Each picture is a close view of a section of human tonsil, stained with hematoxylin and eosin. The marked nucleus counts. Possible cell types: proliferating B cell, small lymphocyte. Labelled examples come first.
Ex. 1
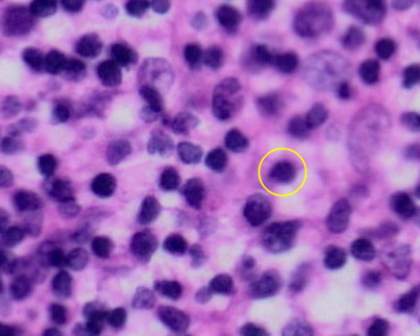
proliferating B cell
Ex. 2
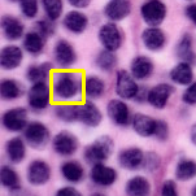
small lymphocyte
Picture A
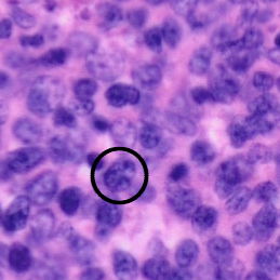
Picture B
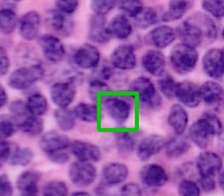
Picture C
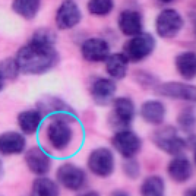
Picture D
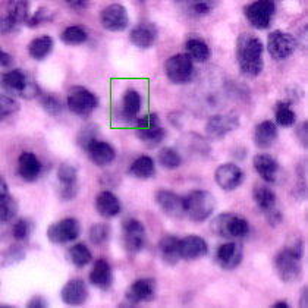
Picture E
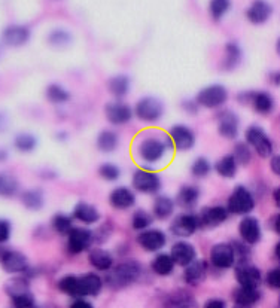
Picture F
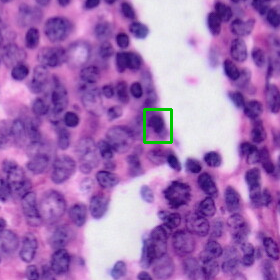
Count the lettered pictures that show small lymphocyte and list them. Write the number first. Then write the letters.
Count: 3 (B, C, E)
